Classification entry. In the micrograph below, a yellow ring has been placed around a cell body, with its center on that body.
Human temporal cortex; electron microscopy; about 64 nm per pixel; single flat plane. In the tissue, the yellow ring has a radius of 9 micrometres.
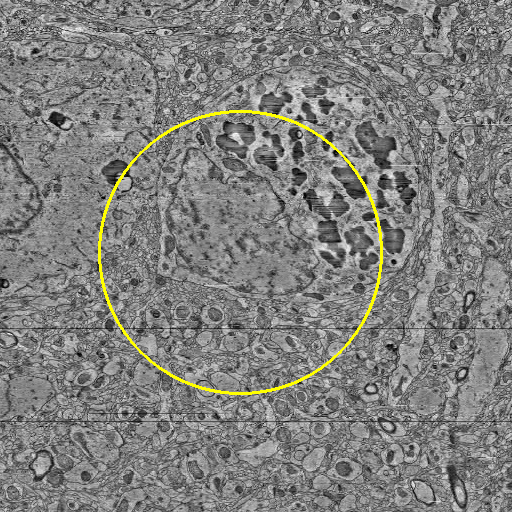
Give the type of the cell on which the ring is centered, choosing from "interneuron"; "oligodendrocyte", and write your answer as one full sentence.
The cell body at the center of the yellow ring belongs to an interneuron.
